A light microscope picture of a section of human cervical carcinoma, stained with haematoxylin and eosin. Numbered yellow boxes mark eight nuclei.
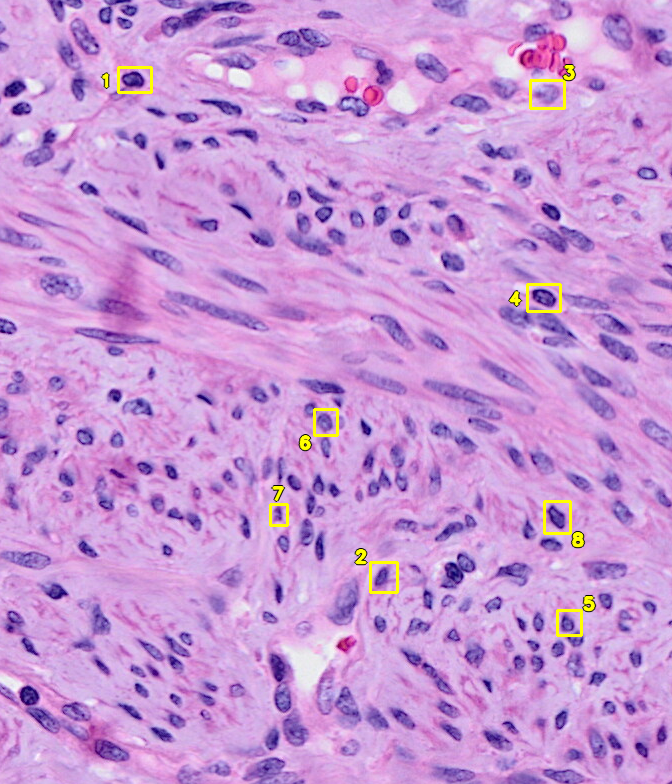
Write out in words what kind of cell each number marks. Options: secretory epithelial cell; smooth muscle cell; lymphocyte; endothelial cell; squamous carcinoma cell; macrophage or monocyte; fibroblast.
Cell 1 is a lymphocyte, cell 2 is a smooth muscle cell, cell 3 is an endothelial cell, cell 4 is a lymphocyte, cell 5 is a smooth muscle cell, cell 6 is a smooth muscle cell, cell 7 is a smooth muscle cell and cell 8 is a smooth muscle cell.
